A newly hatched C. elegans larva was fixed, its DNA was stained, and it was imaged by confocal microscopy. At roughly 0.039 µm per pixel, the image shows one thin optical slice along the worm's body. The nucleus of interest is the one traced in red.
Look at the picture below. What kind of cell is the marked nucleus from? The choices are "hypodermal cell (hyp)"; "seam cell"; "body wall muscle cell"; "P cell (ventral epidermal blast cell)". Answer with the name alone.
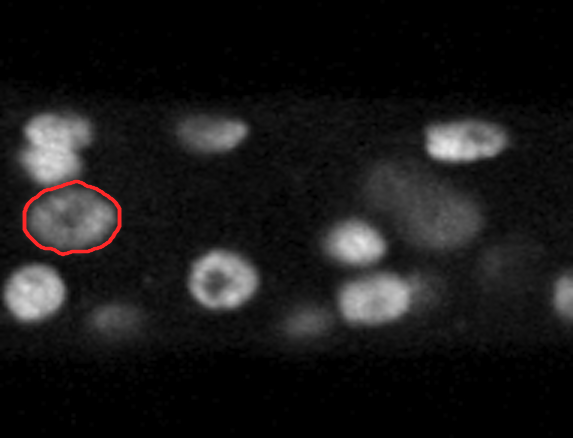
hypodermal cell (hyp)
